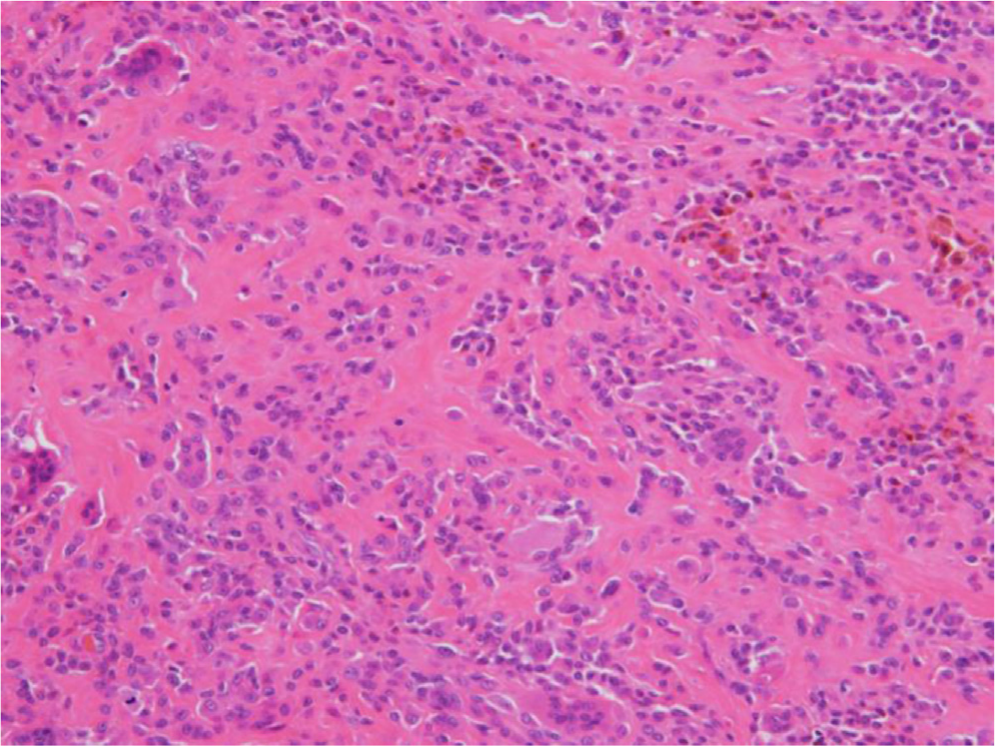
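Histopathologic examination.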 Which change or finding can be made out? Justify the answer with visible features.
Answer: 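Clumps of golden-brown granular pigment lie among the cells, mostly in the upper right part of the field. The pigment is coarse and refractile and sits within or beside rounded cells.
Hemosiderin deposition.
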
